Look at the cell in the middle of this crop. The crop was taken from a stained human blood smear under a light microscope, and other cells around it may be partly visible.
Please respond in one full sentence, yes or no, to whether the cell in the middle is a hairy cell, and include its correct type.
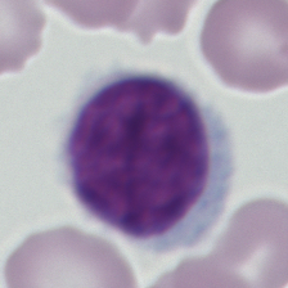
Yes, that is a hairy cell in the middle of the crop.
